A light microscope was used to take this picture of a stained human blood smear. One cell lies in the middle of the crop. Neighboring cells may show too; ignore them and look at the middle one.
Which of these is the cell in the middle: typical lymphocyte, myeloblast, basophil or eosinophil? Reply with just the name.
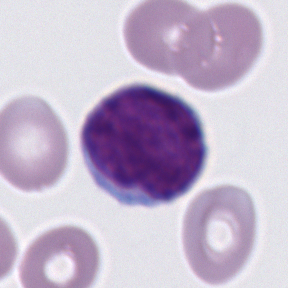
typical lymphocyte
